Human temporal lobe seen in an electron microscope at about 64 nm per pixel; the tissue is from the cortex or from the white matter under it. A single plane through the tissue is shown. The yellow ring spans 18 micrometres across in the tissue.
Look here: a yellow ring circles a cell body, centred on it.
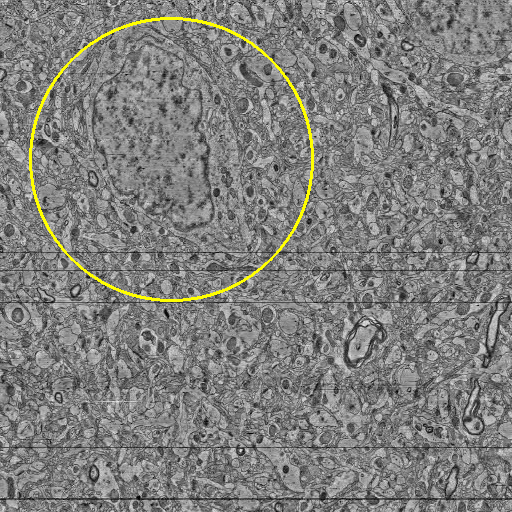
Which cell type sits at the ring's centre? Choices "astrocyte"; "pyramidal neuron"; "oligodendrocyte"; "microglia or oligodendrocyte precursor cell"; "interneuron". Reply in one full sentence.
The cell at the centre of the yellow ring in the picture is an interneuron.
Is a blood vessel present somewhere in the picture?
No, no vessel appears in the picture.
